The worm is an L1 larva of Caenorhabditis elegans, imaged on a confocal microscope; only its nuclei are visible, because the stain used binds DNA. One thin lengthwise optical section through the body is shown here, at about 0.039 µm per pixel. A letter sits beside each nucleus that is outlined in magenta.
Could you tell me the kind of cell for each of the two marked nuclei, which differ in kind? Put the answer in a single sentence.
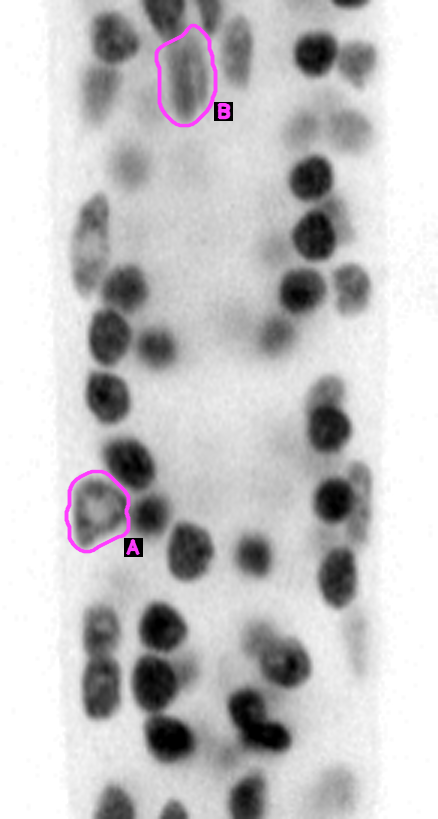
A is the nucleus of a hypodermal cell (hyp); B is the nucleus of a pharyngeal marginal cell.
